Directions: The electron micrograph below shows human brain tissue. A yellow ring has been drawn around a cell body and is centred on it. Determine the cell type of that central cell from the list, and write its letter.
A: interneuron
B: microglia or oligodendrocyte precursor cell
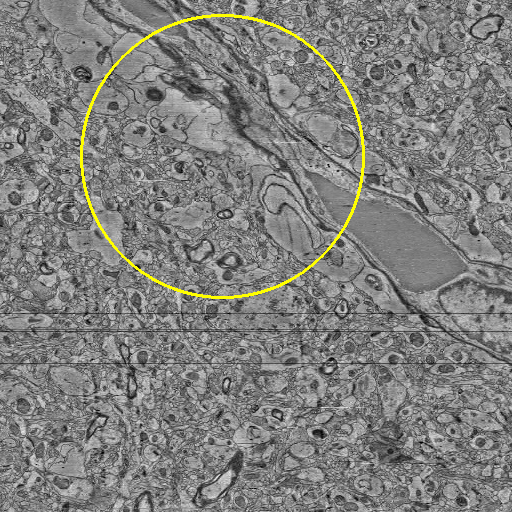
B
